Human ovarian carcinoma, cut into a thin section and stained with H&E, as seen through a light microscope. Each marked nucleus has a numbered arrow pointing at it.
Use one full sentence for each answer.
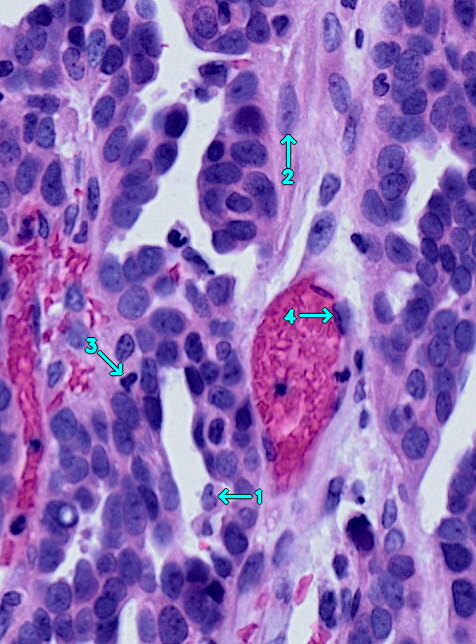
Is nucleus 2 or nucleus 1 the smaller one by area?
Number 1 is smaller, since number 2 takes up about 3 times as much area.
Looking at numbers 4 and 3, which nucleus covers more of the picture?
Nucleus 4 is larger, with an area about 2 times that of nucleus 3.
